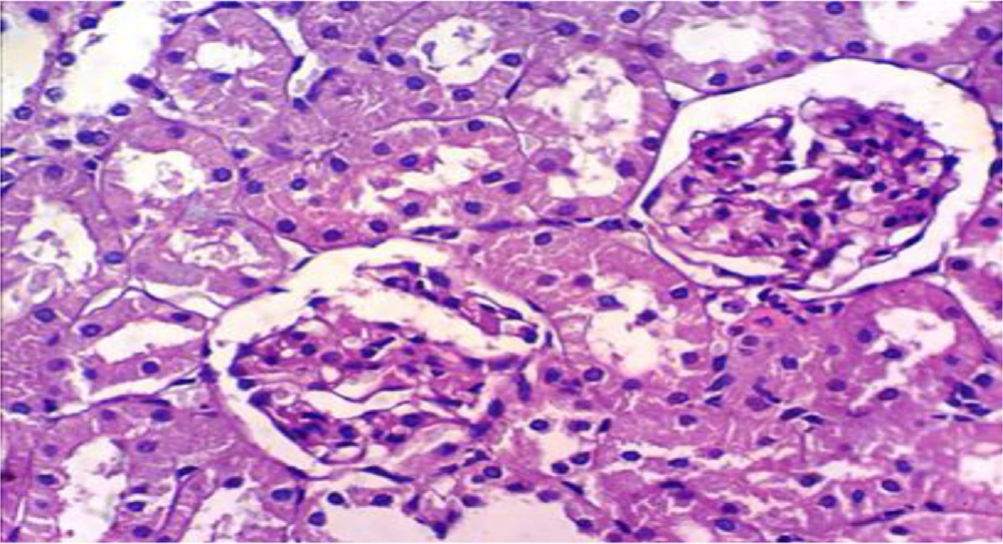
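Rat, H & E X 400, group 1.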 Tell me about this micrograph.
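The section shows renal cortex in pink and purple. Two glomeruli appear as rounded, densely cellular tufts of capillary loops with many dark purple nuclei. Each tuft sits inside a thin-walled capsule separated from it by a clear crescent of space. Around them, closely packed tubules in cross-section are lined by a single layer of cuboidal cells. These cells have round, dark blue-purple nuclei and granular pink cytoplasm, and some have a fuzzy luminal border. The lumens are open and pale, a few holding wispy pink material. Interstitial tissue between the tubules is scant. Overall, this is the ordinary architecture of renal parenchyma, without obvious abnormality.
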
